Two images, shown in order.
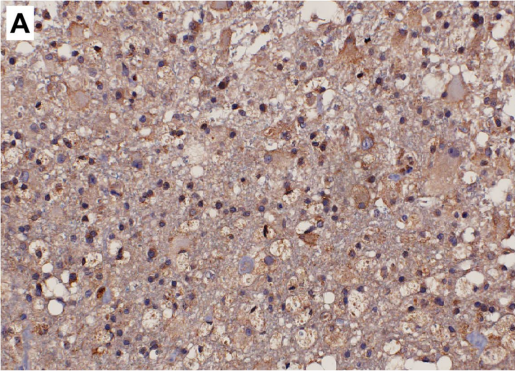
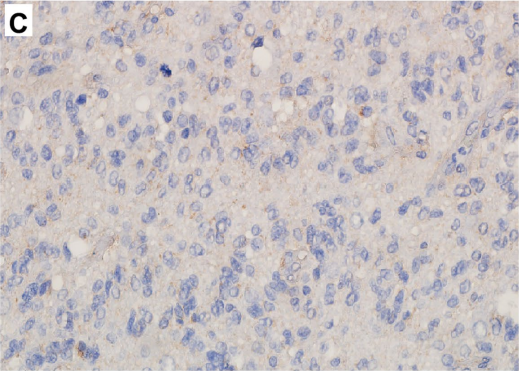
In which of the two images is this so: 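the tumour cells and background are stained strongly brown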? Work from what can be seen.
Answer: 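Second image: nuclei are blue with only faint, scattered brown in the background. The answer: the first image.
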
